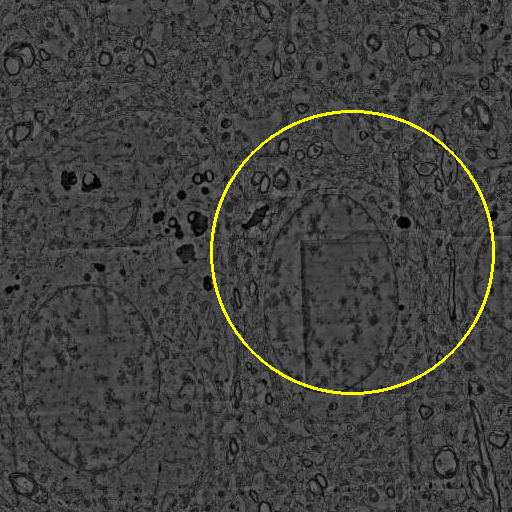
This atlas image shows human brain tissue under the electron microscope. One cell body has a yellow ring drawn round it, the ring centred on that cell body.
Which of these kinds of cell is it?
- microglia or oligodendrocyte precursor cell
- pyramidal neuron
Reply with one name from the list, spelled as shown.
pyramidal neuron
